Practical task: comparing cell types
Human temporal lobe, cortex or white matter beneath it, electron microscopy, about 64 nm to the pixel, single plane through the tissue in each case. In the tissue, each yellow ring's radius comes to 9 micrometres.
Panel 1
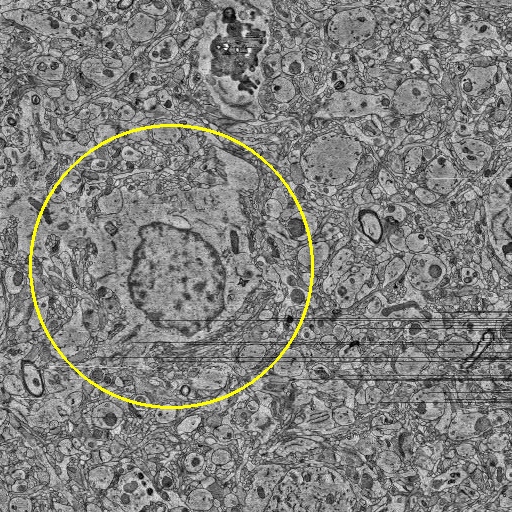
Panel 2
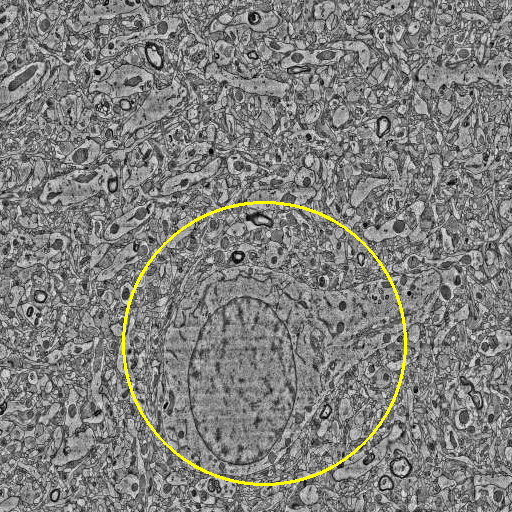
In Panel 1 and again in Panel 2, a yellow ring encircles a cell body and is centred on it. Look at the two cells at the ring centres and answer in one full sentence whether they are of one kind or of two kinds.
The two cells sitting at the ring centres of Panels 1 and 2 are of two kinds.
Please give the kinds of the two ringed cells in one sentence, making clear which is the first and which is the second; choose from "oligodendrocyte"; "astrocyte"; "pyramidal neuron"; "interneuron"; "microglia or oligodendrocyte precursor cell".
In the second picture the ringed cell is a pyramidal neuron; in the first it is an astrocyte.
